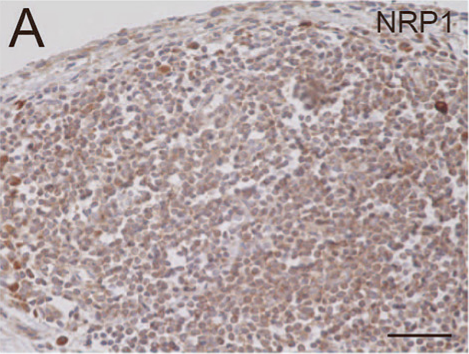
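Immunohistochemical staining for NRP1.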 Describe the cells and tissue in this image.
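This is a dense aggregate of small round inflammatory cells, lymphocytes, packed closely together in a rounded collection. Along the upper edge a thin band of flatter, elongated cells borders the aggregate, and a few cells there are more intensely brown.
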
